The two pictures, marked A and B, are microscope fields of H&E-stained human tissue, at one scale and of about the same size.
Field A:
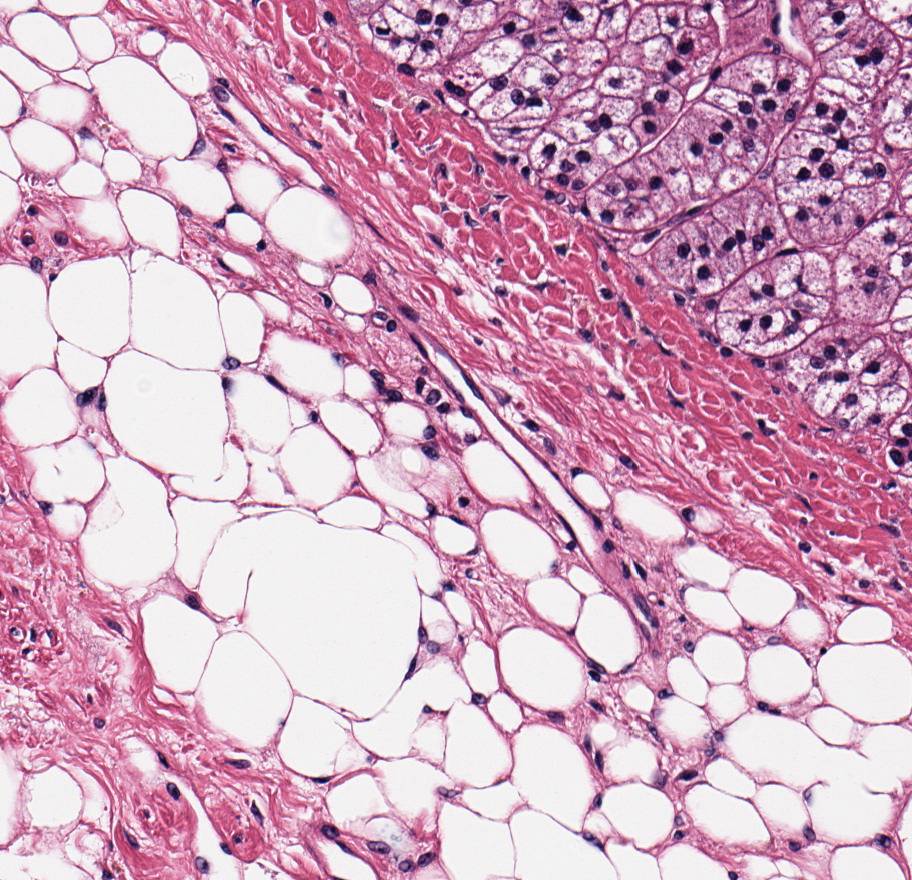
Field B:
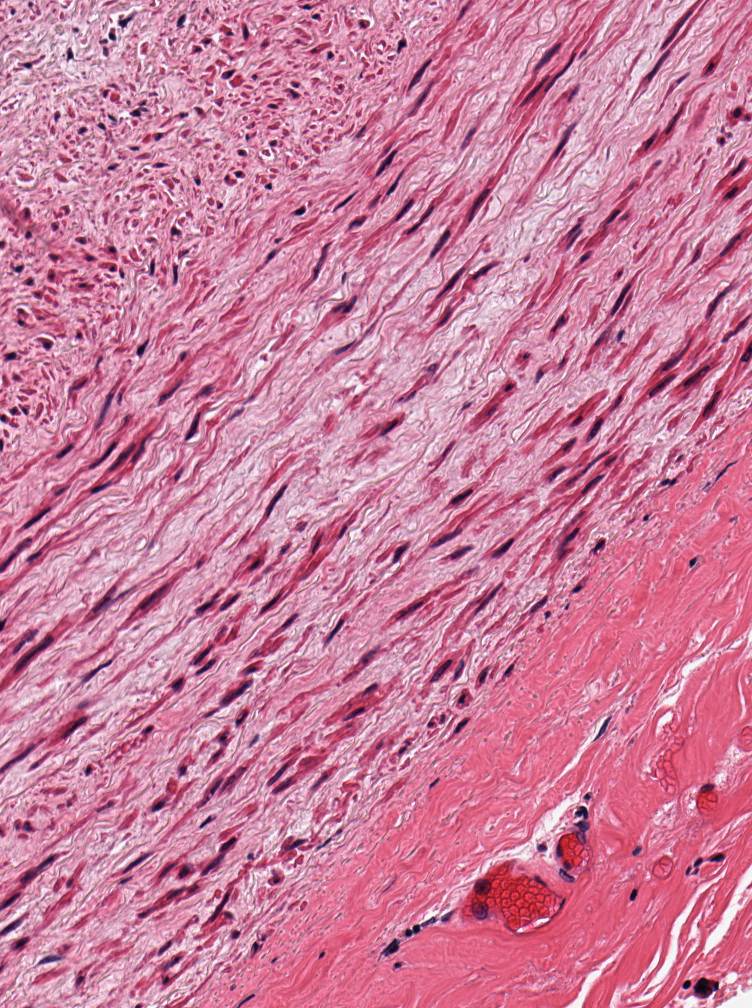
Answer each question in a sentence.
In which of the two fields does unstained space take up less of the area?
Field B has less white space.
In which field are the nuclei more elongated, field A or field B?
Longer, more slender nuclei lie in field B.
